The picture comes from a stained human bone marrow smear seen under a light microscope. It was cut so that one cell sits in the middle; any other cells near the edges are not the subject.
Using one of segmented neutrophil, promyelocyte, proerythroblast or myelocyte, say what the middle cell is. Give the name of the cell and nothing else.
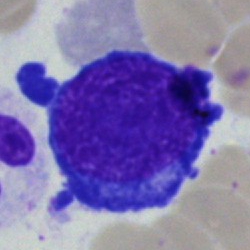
proerythroblast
